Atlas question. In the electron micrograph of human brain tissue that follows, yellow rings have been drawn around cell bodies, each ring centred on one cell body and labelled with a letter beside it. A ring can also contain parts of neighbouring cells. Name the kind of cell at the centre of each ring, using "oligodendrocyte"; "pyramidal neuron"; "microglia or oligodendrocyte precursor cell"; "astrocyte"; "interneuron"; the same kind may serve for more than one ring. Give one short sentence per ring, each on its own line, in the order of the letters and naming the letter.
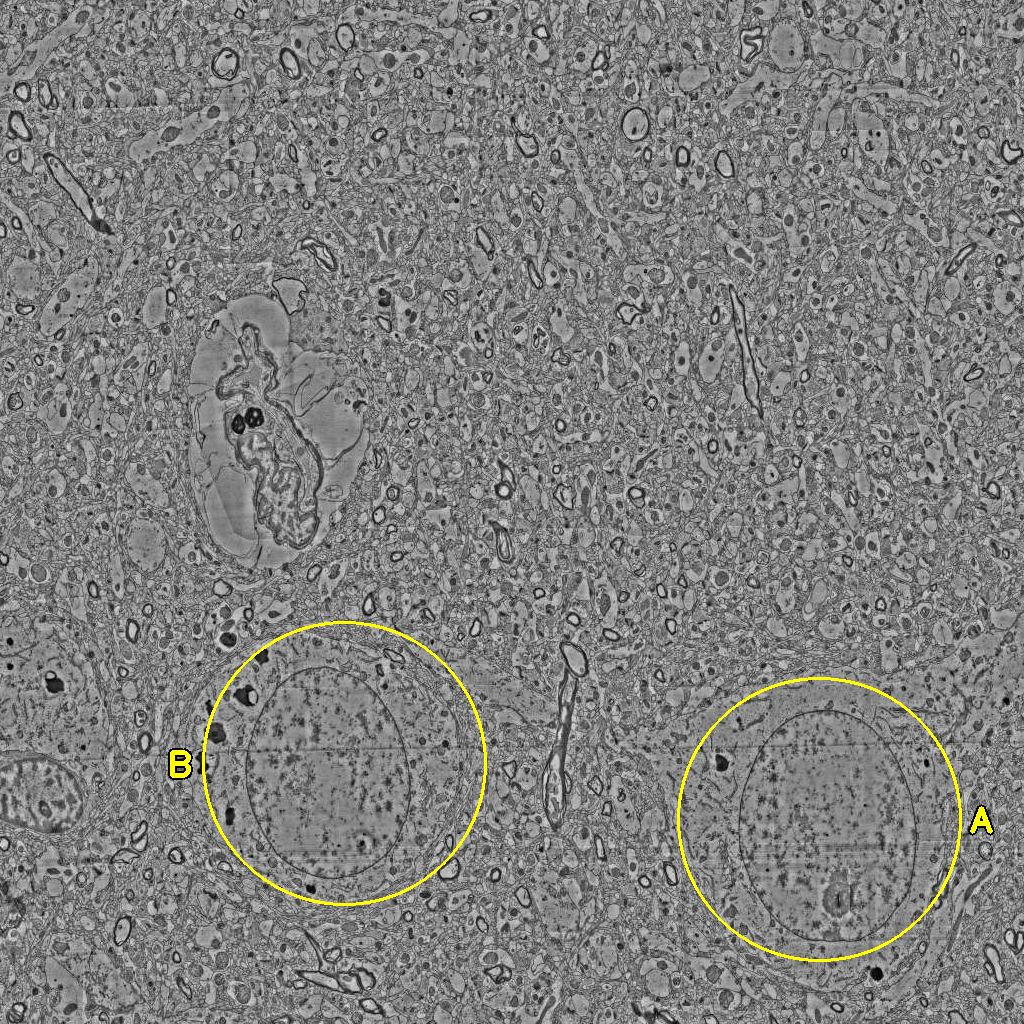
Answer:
For ring A, the cell at the centre is a pyramidal neuron.
For ring B, the cell at the centre is a pyramidal neuron.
